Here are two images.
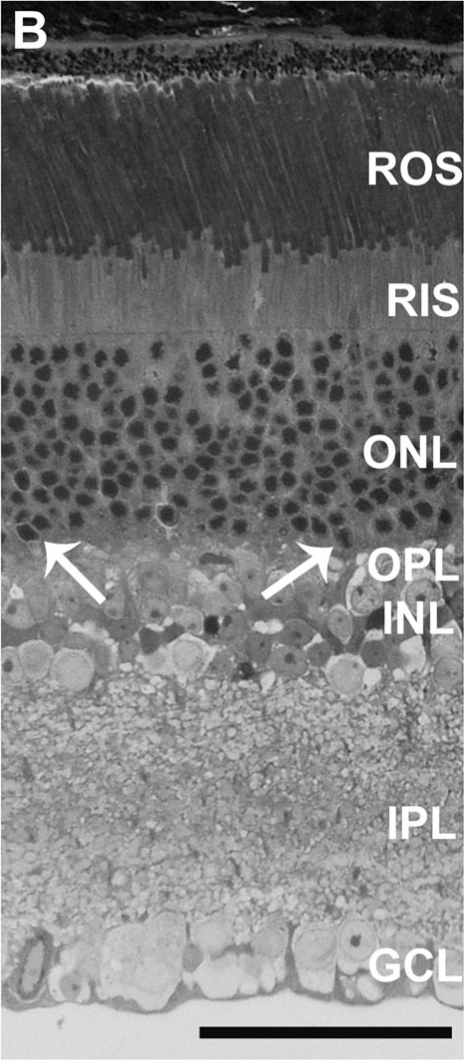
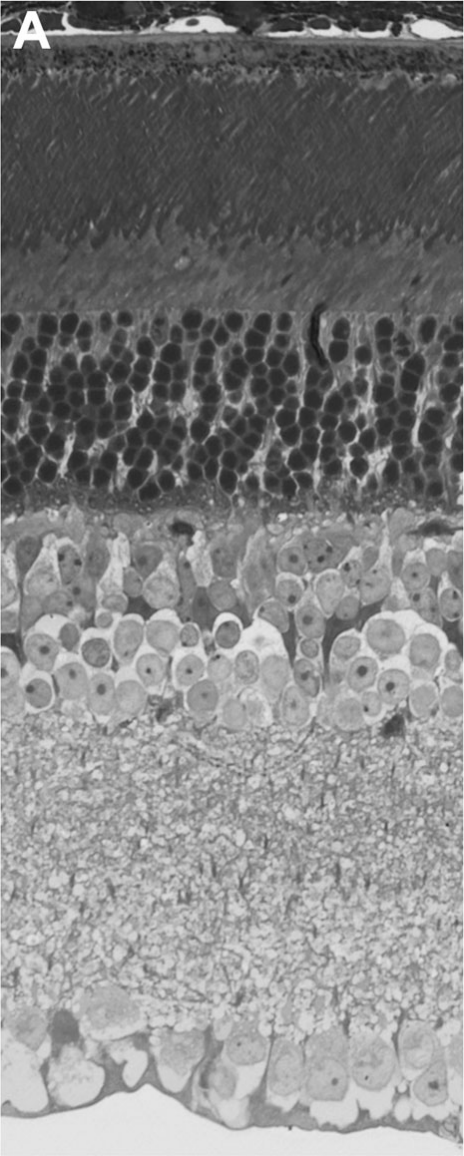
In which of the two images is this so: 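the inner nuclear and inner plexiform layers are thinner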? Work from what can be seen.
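The first image. Second image: the inner nuclear layer has several rows of large pale cells and the fibrous inner plexiform layer is broad. First image: the inner nuclear layer has fewer rows of cells and the fibrous inner plexiform layer is narrower.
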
